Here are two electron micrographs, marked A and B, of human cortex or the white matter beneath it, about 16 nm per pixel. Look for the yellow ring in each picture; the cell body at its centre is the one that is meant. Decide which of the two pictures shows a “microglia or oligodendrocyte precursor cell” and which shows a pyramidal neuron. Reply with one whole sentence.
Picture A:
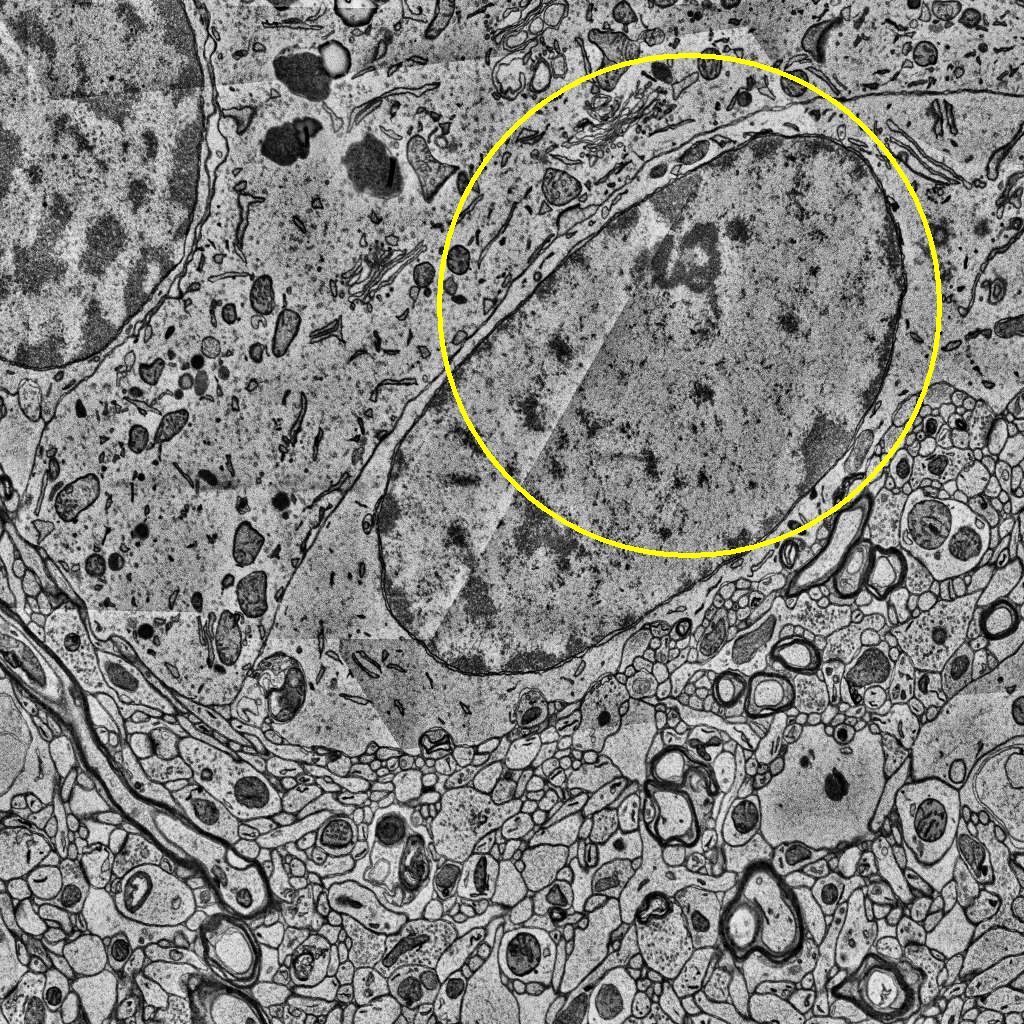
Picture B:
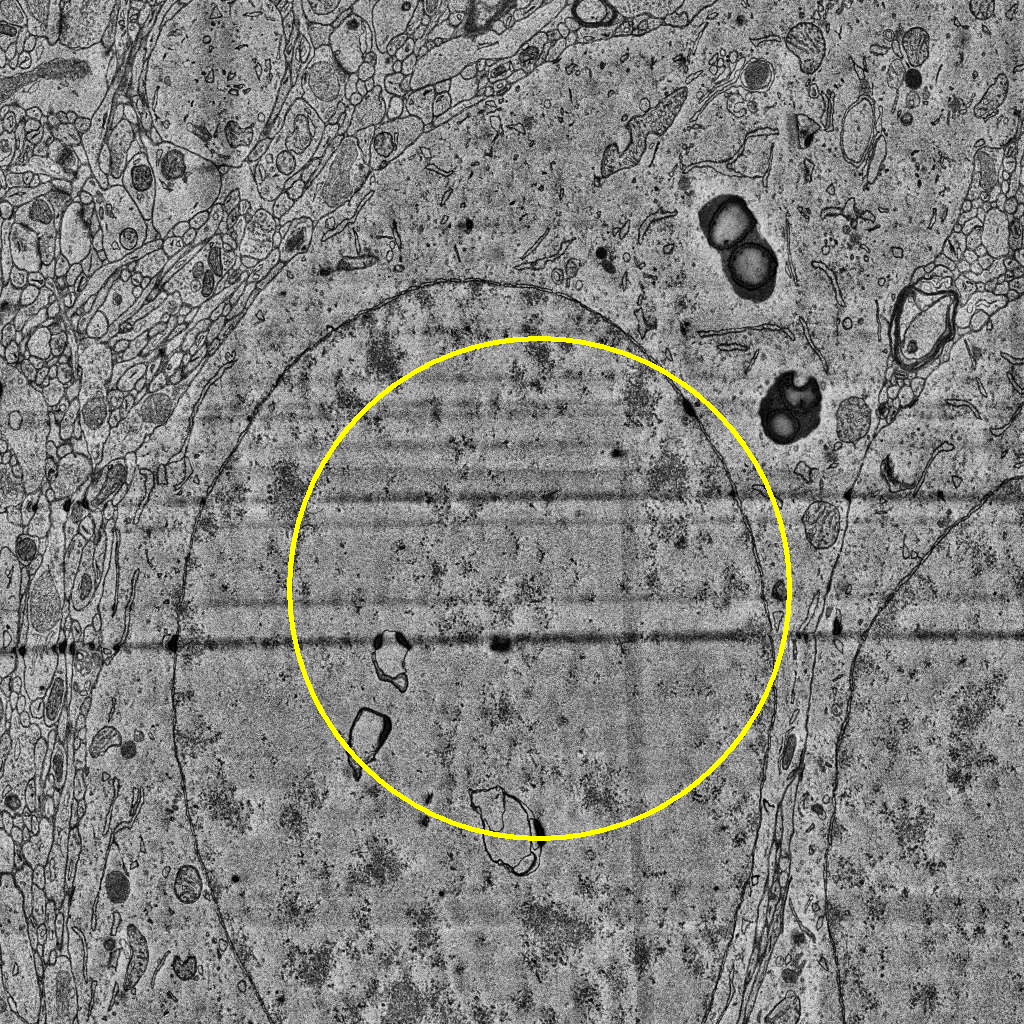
Picture B shows a pyramidal neuron, while picture A shows a “microglia or oligodendrocyte precursor cell”.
